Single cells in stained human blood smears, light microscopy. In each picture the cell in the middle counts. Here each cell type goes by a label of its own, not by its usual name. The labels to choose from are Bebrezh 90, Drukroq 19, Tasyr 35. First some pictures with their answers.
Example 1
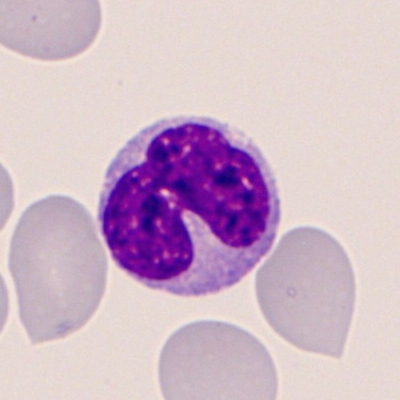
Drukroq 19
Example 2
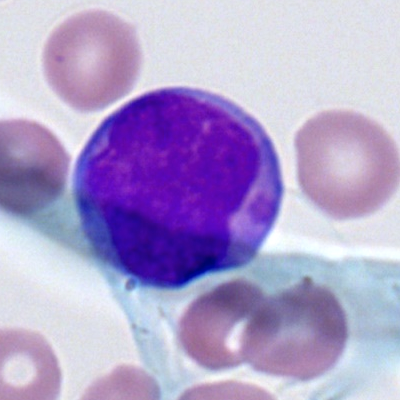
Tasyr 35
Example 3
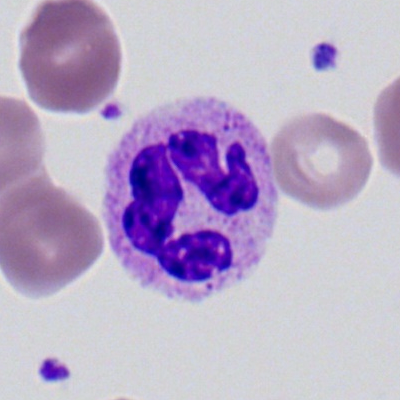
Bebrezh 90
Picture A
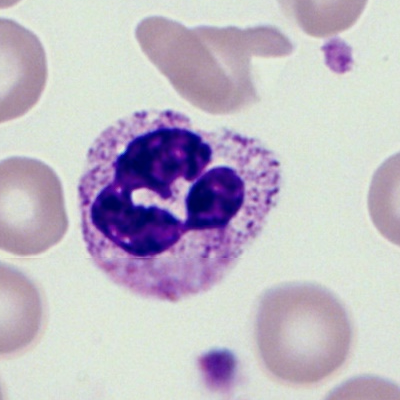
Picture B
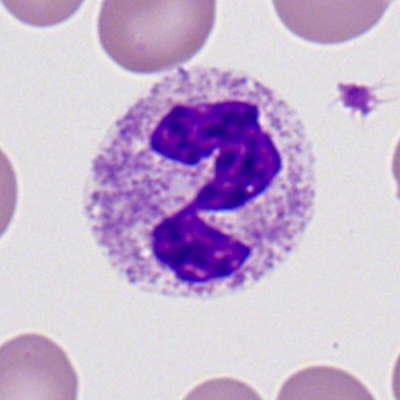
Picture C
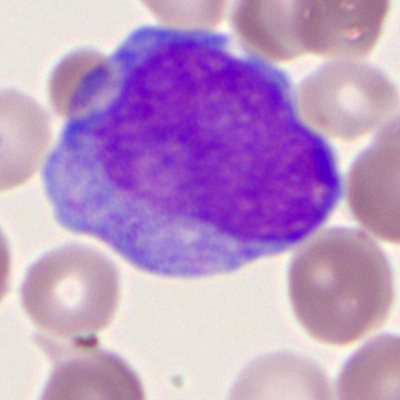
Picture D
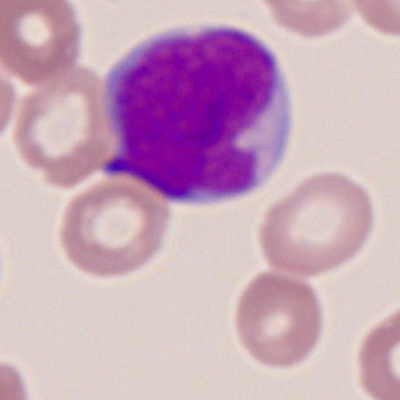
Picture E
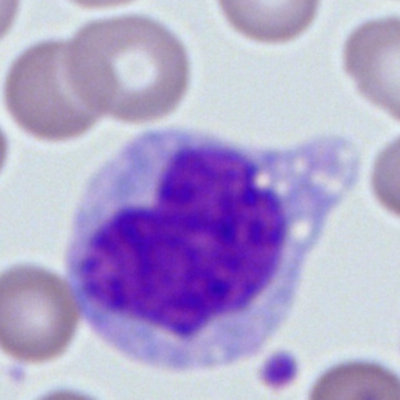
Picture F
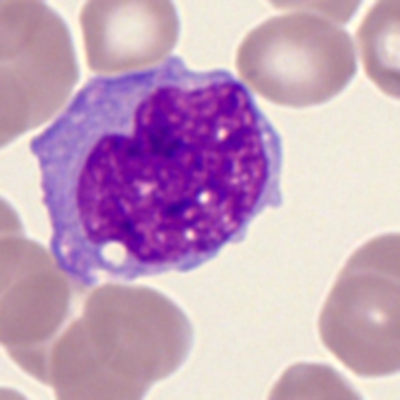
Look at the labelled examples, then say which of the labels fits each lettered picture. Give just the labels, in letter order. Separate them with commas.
Bebrezh 90, Bebrezh 90, Tasyr 35, Tasyr 35, Drukroq 19, Drukroq 19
